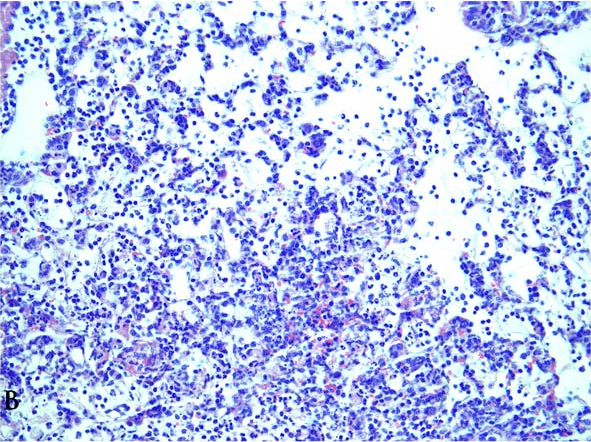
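This lung parenchyma shows alveolitis with thickened alveolar septa crowded with nuclei. Numerous small round inflammatory cells with dark nuclei fill the alveolar spaces. In the upper part some air spaces remain open, while toward the bottom the tissue is nearly consolidated, with little air space left and scattered red blood cells.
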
